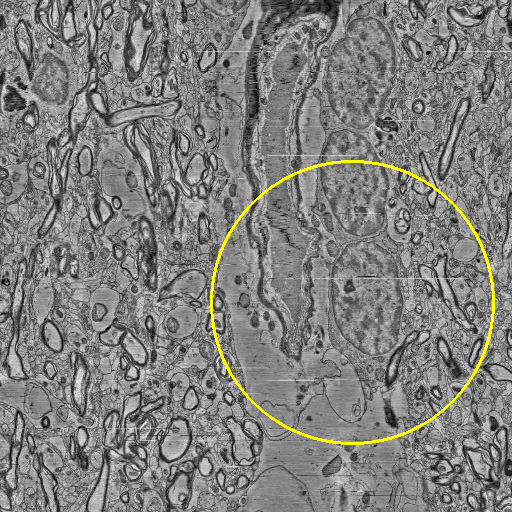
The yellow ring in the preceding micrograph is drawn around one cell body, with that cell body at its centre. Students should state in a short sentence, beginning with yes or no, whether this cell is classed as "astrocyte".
No, this cell is of another type.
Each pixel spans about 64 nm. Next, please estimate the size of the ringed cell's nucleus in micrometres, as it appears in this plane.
Roughly 8 micrometres by 5 micrometres, so the nucleus is clearly longer than it is wide in this plane.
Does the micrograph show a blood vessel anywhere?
Yes, there is one.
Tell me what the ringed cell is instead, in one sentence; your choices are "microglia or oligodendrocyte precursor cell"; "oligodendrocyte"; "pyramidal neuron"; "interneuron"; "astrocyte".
Instead, the cell at the centre of the yellow ring is an oligodendrocyte.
